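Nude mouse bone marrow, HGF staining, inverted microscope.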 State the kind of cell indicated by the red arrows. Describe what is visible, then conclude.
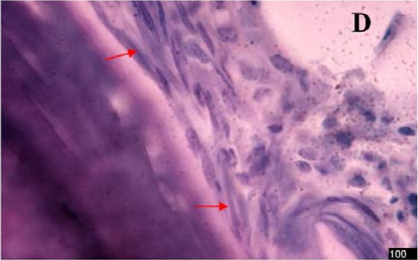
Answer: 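Several spindle-shaped cells with elongated nuclei run in parallel streams along the dark bony edge. These elongated cells differ from the rounder marrow cells farther from the edge. The answer: fibroblast-like cells.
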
